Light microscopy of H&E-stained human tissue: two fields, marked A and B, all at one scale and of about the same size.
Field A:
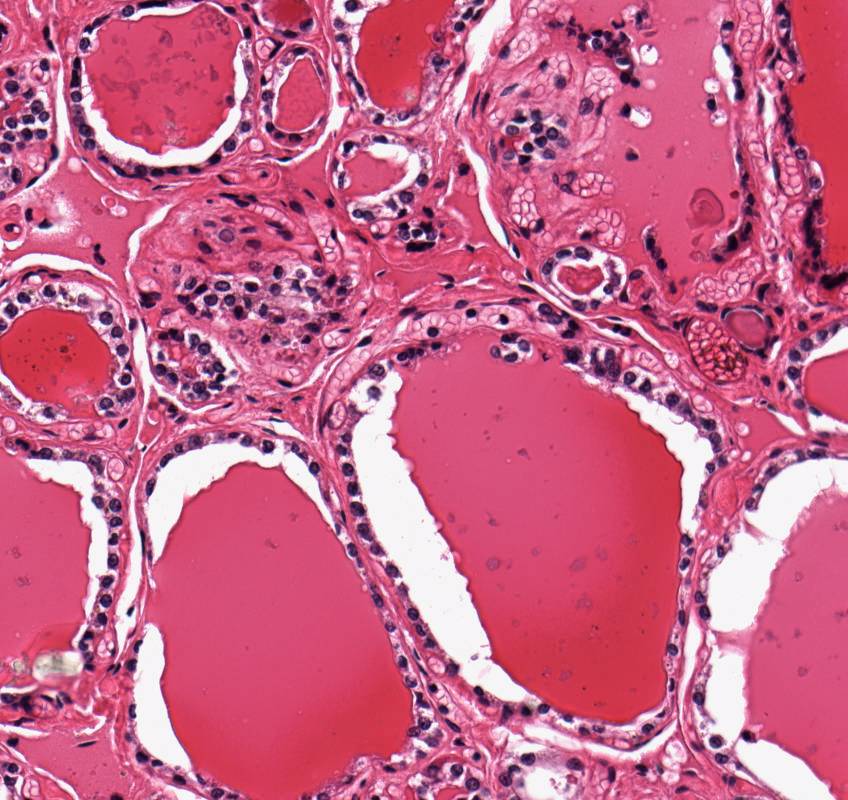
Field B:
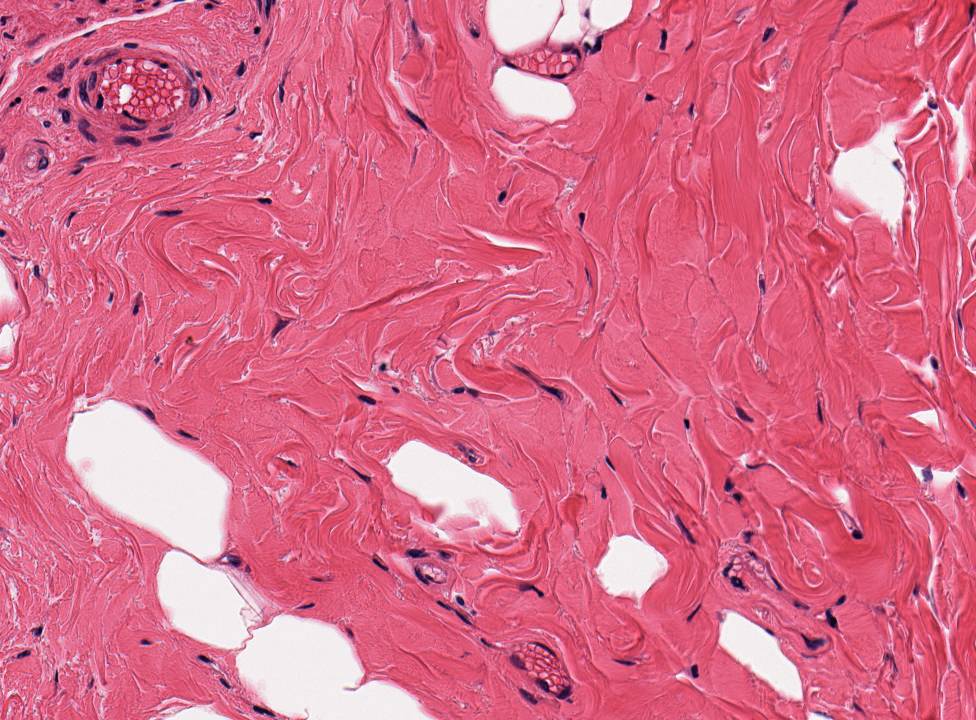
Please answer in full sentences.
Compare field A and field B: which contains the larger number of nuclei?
There are more nuclei in field A.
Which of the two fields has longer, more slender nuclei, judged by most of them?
Longer, more slender nuclei lie in field B.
